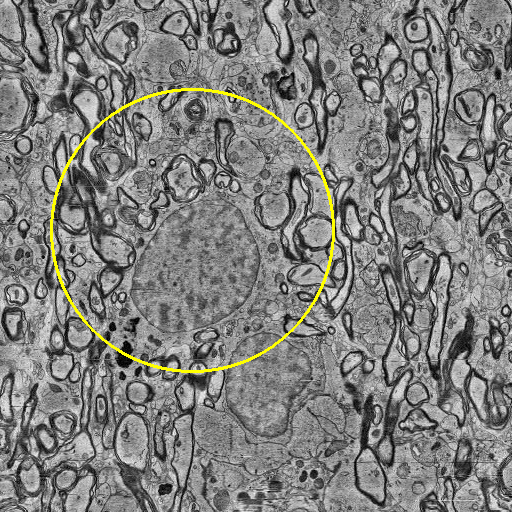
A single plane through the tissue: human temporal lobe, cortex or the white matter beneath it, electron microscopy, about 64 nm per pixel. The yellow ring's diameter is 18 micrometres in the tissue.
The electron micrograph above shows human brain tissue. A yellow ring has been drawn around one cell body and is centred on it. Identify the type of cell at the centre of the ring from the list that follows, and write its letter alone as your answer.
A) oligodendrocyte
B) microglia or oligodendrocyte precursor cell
A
